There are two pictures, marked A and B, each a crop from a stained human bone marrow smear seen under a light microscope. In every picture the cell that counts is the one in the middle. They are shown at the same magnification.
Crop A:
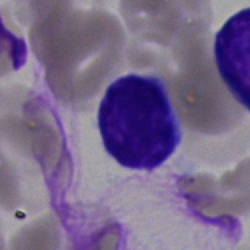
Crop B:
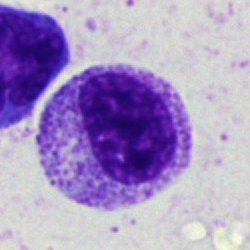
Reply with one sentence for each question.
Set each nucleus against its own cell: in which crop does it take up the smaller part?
The nucleus fills less of the cell in crop B than in crop A.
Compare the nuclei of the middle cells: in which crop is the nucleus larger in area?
Crop B shows the larger nucleus; it covers about 1.5 times the area of the nucleus in crop A.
